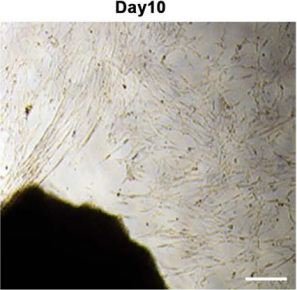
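Thin, elongated cells with a fibroblast-like shape spread away from the edge of the fragment onto the dish. They lie loosely scattered, many oriented outward from the tissue piece, and they are far from covering the surface.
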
